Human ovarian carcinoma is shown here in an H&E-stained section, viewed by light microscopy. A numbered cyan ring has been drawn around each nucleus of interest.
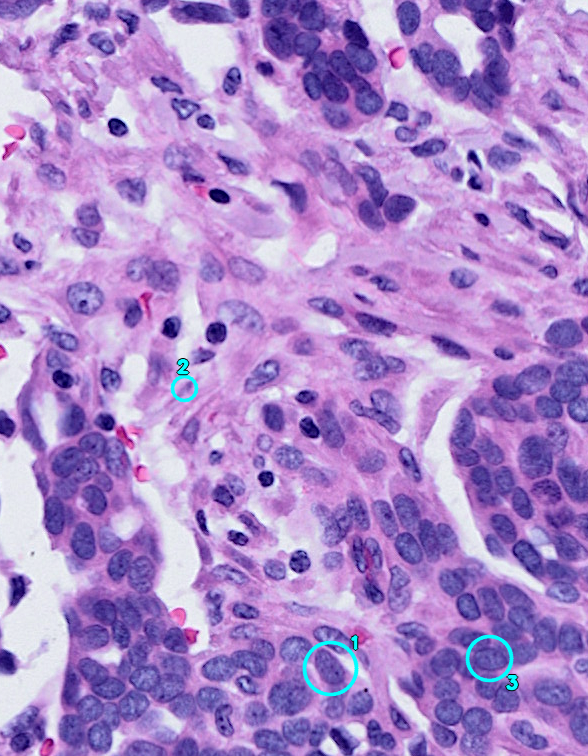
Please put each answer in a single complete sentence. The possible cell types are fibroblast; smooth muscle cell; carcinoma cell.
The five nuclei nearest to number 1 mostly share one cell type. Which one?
The majority of the five nuclei closest to number 1 belong to carcinoma cells.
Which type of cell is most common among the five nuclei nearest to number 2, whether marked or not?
Most of the five nuclei nearest to number 2 are those of fibroblasts.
